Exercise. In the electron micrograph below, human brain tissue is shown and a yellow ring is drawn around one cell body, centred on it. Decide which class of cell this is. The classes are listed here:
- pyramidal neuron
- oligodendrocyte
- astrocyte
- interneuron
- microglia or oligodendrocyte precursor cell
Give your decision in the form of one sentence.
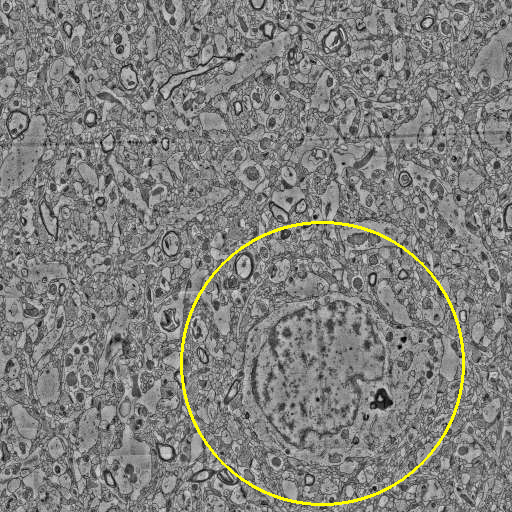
The cell body marked by the ring belongs to an interneuron.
